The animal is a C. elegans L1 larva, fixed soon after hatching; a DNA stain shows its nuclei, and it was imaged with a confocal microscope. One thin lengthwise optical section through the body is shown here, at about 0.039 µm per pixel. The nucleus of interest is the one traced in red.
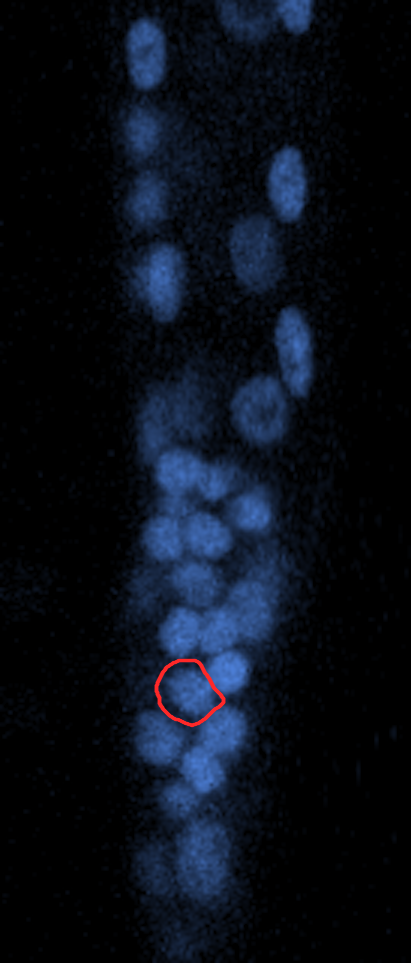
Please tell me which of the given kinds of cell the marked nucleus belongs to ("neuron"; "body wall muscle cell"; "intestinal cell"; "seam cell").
neuron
